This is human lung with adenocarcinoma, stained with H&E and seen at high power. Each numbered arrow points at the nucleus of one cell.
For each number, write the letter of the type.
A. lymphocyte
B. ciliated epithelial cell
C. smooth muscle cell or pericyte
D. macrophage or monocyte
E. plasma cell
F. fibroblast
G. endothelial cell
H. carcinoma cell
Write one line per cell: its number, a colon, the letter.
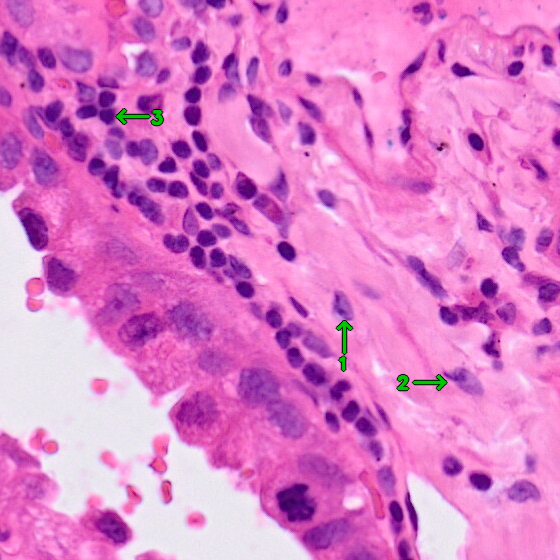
1: F
2: F
3: A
